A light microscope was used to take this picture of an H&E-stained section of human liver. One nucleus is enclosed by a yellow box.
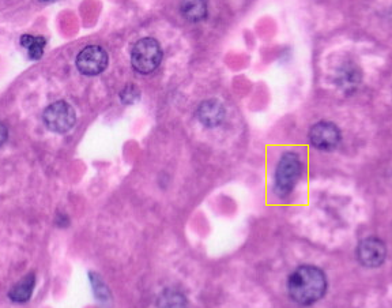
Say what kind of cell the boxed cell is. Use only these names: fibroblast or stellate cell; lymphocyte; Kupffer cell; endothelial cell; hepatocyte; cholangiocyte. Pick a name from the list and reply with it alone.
fibroblast or stellate cell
